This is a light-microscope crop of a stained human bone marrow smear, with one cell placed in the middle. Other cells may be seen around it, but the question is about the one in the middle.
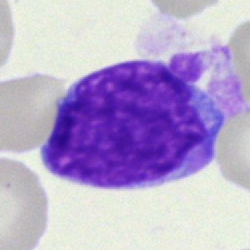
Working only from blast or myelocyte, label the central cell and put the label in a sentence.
In this smear crop, the middle cell is a blast.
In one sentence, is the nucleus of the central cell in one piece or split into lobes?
Have a look at the nucleus, which is one compact mass, round, oval or kidney-shaped.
